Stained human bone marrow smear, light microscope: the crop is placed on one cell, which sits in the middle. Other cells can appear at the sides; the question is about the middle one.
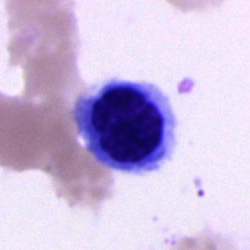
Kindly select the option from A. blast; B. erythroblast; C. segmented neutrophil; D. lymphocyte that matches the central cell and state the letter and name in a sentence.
The centered cell is an erythroblast, which is why option B is right.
